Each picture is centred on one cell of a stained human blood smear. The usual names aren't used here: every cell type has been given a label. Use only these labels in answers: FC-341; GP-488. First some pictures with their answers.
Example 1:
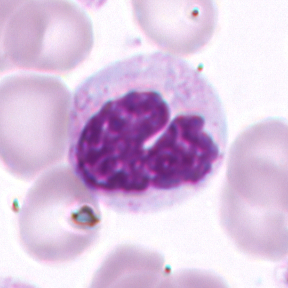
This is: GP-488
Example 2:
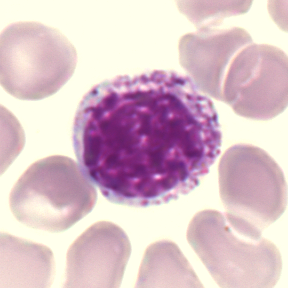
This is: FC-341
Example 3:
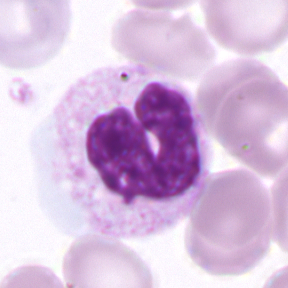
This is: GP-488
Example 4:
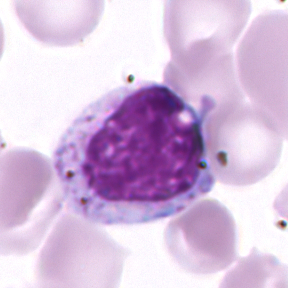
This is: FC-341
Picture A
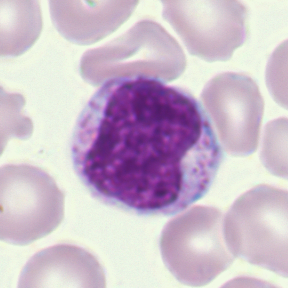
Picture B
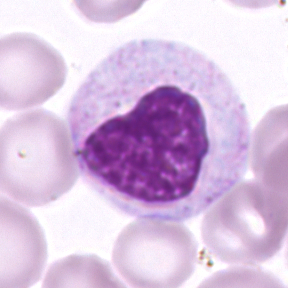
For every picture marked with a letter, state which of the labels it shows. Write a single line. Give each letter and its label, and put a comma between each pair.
A FC-341, B FC-341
